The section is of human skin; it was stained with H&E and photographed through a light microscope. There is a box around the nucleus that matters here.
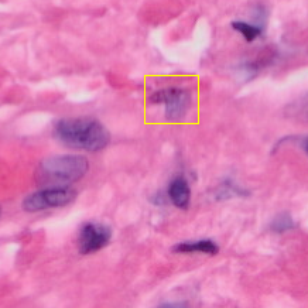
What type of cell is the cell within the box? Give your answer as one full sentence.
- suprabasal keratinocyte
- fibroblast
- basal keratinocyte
In this tissue section, the cell within the box is to be classed as a fibroblast.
